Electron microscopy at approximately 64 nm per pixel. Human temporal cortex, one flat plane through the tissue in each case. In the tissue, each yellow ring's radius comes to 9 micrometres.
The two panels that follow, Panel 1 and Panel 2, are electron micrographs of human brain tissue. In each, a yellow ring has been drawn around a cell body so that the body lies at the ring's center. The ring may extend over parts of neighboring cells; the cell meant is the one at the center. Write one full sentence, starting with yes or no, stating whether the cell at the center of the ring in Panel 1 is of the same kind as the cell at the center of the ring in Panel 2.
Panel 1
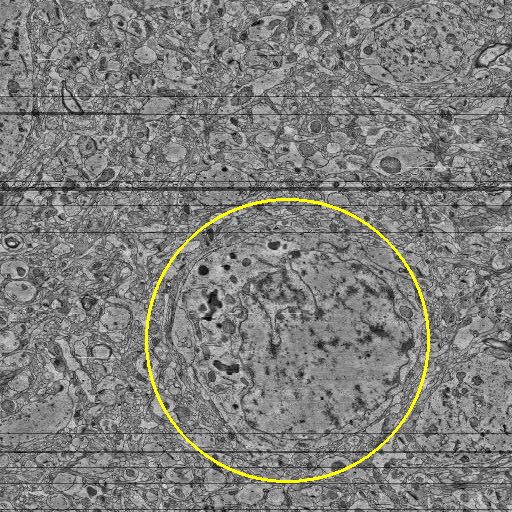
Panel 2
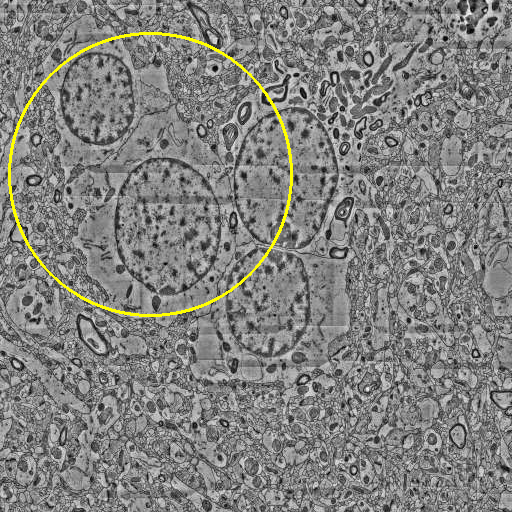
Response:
No, the cells in the two panels are of two kinds.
